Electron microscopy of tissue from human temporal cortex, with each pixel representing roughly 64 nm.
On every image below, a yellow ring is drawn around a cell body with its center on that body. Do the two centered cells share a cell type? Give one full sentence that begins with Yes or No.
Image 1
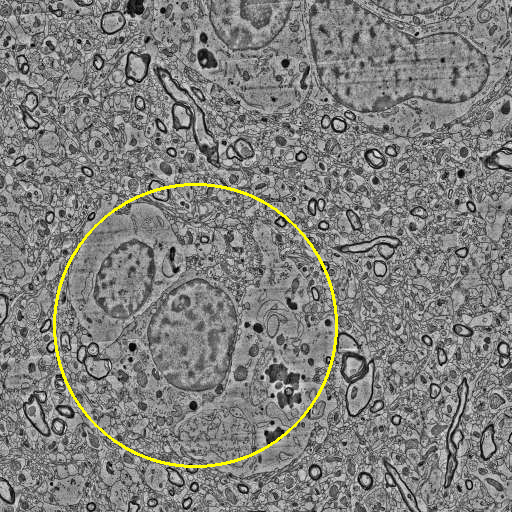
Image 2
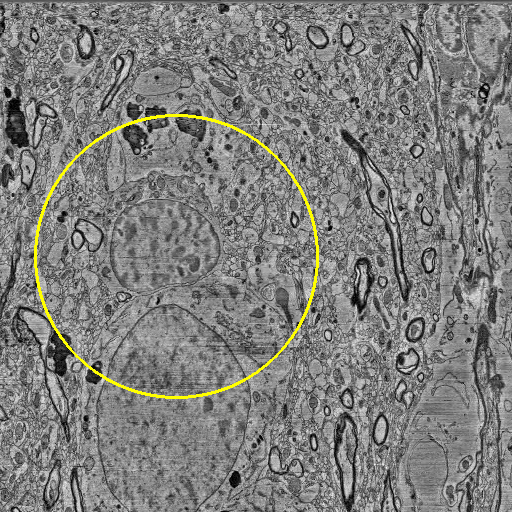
Yes, the centered cells in the two images are of a single cell type.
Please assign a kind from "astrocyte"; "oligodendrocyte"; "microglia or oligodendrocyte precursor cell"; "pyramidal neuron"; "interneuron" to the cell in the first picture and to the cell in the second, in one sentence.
The first and the second cell are each an oligodendrocyte.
